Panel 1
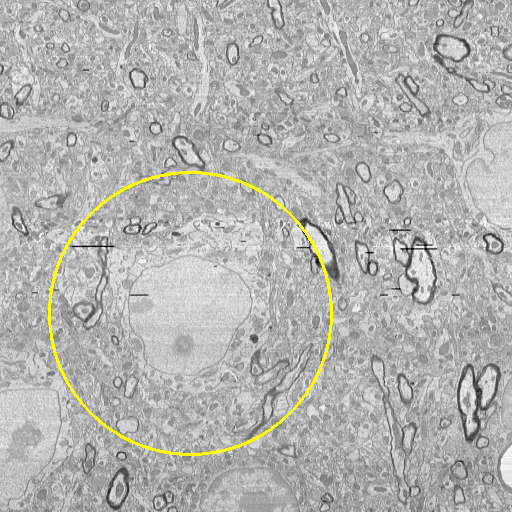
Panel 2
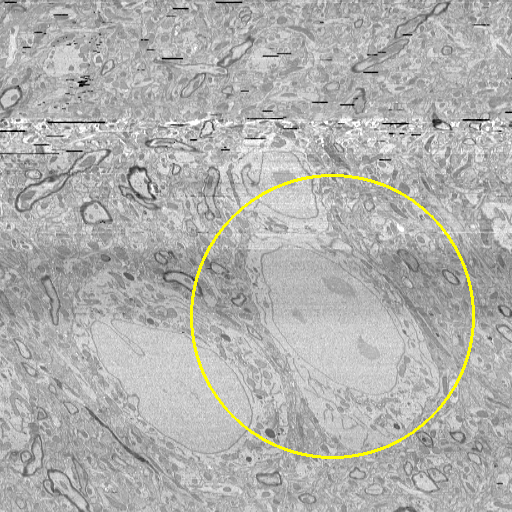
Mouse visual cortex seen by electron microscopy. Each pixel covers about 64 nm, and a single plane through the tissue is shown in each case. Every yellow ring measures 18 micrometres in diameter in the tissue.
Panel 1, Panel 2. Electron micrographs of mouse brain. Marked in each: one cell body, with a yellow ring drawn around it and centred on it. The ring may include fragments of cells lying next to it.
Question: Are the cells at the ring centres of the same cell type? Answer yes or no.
yes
